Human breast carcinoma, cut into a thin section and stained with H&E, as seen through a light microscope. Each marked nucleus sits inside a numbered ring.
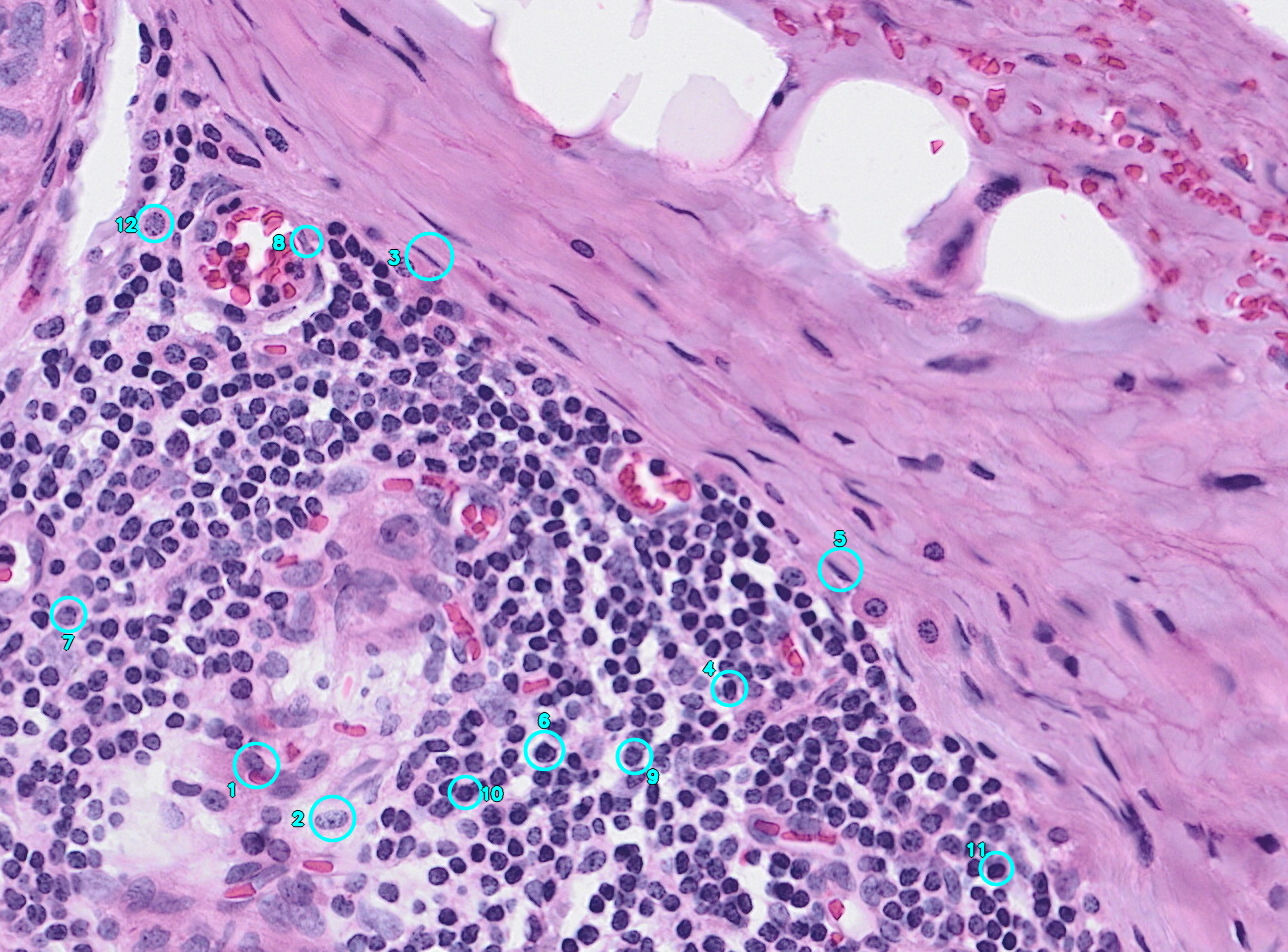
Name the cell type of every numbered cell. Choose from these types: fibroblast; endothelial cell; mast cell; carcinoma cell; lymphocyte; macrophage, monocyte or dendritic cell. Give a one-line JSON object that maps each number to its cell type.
{"1": "endothelial cell", "2": "mast cell", "3": "fibroblast", "4": "lymphocyte", "5": "fibroblast", "6": "lymphocyte", "7": "lymphocyte", "8": "endothelial cell", "9": "lymphocyte", "10": "lymphocyte", "11": "lymphocyte", "12": "mast cell"}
